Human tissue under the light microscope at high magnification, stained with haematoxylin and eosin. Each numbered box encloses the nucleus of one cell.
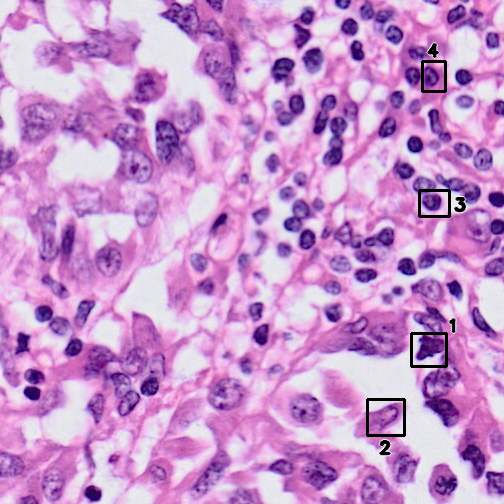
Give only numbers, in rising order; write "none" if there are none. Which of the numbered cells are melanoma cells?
1, 2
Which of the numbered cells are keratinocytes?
none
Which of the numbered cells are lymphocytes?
3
